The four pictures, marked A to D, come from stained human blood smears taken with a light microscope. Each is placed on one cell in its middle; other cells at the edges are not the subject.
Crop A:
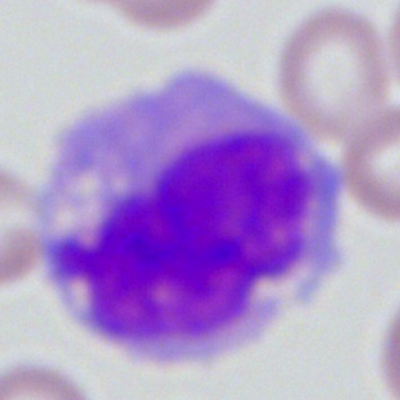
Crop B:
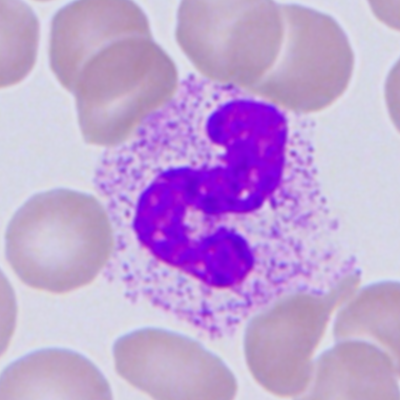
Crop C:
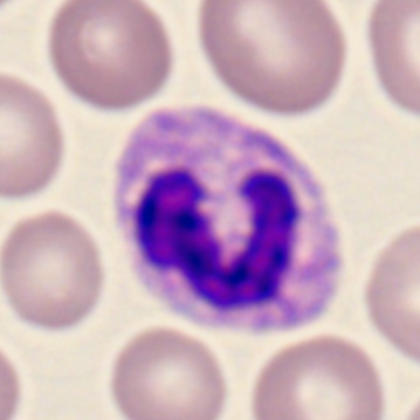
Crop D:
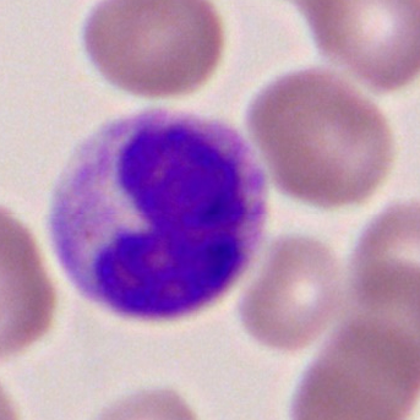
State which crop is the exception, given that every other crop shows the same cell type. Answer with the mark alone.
A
